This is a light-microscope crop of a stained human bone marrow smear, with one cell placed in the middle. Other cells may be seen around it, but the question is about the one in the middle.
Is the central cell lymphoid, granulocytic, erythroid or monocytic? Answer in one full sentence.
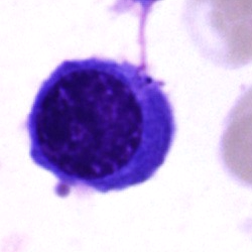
The lineage to which the central cell belongs is the erythroid lineage.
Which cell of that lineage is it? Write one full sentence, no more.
The cell in the middle of this crop is an erythroblast.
